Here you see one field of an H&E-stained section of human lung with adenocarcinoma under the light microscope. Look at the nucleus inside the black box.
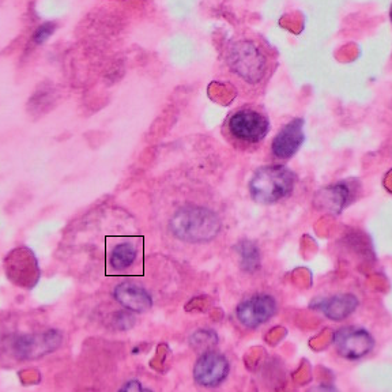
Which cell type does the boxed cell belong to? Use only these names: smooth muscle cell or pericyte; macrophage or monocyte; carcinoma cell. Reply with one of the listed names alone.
macrophage or monocyte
